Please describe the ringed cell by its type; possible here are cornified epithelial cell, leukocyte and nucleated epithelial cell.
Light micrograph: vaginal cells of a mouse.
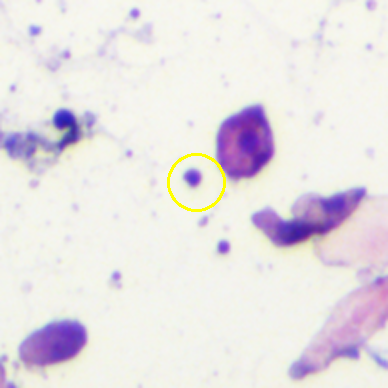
The yellow ring marks a leukocyte.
